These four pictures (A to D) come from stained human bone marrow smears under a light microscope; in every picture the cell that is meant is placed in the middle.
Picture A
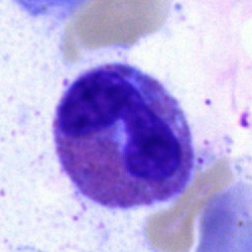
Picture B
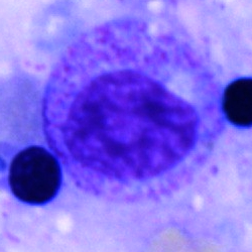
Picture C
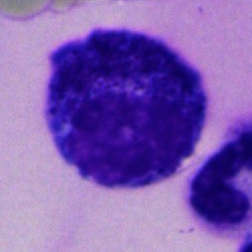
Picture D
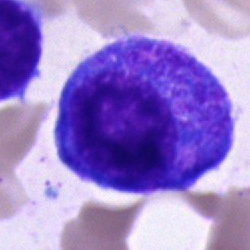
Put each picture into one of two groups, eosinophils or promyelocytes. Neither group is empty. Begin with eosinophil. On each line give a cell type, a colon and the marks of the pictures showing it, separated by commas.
eosinophil: A
promyelocyte: B, C, D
